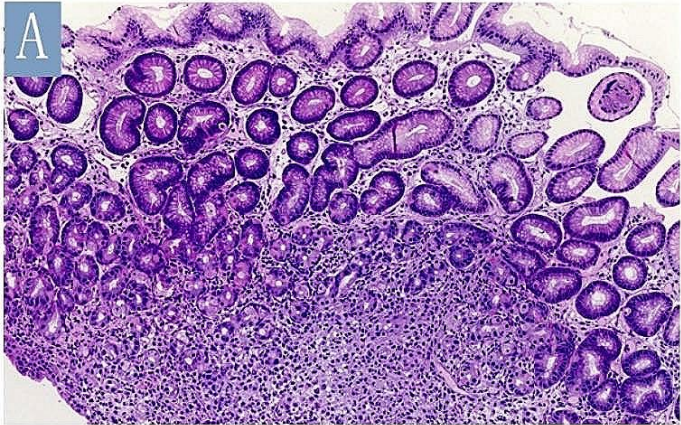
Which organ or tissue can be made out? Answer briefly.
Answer: gastric mucosa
